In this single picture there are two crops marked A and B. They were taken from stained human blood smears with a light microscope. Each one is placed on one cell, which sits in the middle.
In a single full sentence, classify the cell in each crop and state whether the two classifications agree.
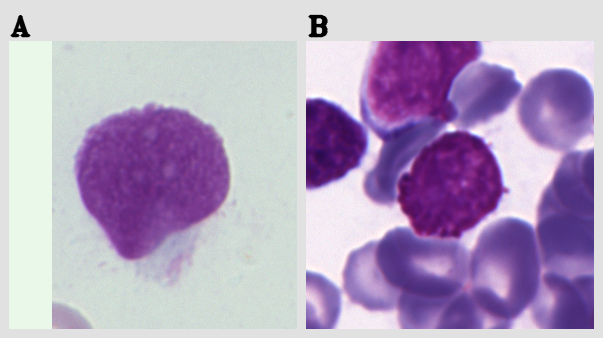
No, crop A contains a smudge cell, whereas crop B contains a myeloblast.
